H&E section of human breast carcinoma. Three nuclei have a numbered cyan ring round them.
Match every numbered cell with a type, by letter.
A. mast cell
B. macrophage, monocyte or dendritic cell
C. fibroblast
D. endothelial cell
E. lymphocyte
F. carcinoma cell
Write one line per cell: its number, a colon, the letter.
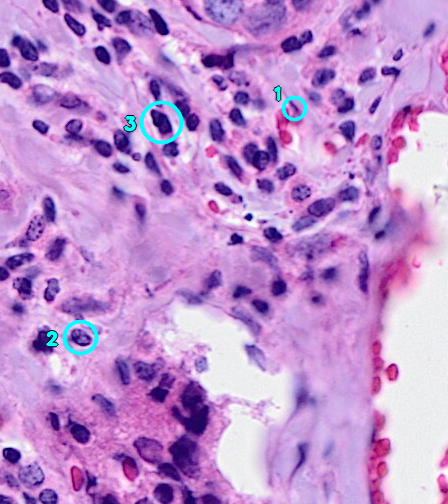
1: D
2: E
3: E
